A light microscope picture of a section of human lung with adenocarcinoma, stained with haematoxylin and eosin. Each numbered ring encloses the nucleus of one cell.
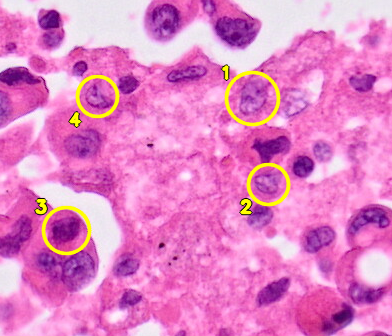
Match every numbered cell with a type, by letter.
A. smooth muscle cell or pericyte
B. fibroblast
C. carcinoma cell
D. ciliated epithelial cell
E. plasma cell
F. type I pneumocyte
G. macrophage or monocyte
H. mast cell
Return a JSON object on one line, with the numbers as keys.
{"1": "G", "2": "G", "3": "C", "4": "G"}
